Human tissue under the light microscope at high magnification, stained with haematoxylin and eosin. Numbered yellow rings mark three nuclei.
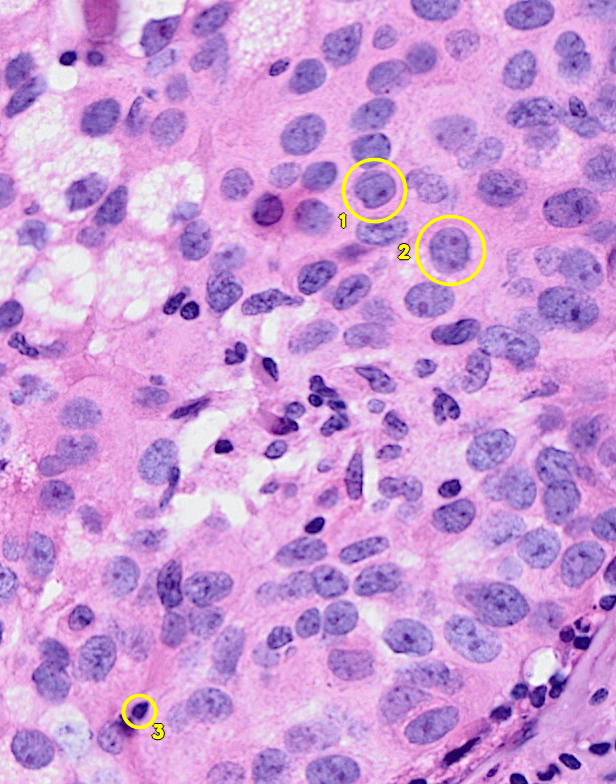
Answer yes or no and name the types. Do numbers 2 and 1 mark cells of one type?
Yes, both are carcinoma cells.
